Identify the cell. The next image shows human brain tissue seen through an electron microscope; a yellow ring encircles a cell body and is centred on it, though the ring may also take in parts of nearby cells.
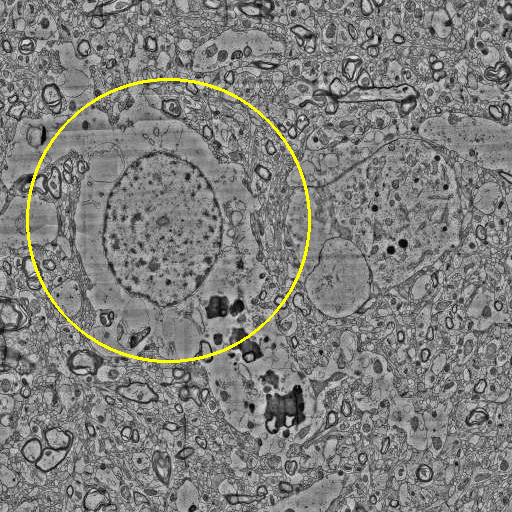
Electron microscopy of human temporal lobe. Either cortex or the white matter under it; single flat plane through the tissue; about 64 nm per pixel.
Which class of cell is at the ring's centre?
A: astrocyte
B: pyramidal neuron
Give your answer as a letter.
A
